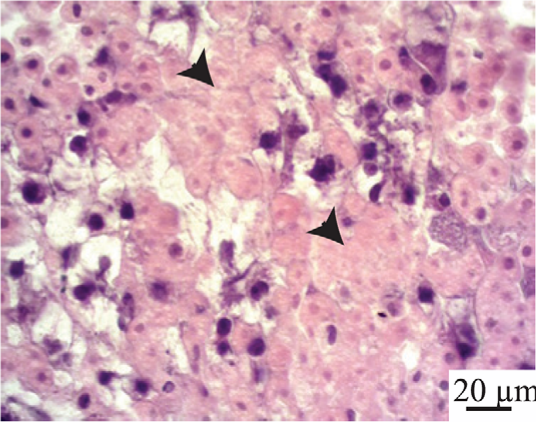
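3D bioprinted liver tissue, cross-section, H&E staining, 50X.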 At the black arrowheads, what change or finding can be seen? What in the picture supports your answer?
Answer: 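The marked cells are large, pale pink cells with faint outlines. Their nuclei are faint or hard to make out. Clear gaps separate loosely arranged cells around them. The answer: hepatocyte necrosis.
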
